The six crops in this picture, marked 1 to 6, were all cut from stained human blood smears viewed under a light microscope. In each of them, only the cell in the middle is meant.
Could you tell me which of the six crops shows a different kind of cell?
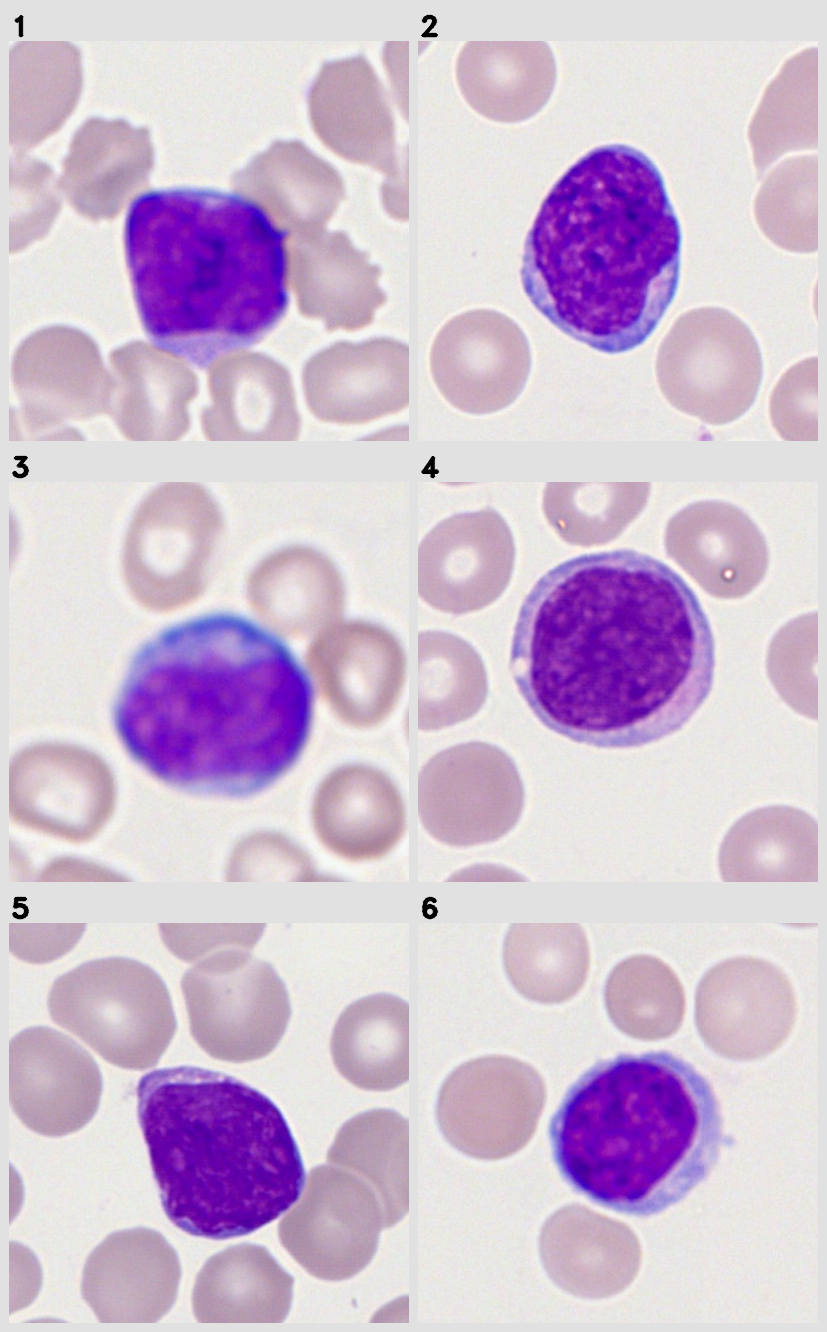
6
